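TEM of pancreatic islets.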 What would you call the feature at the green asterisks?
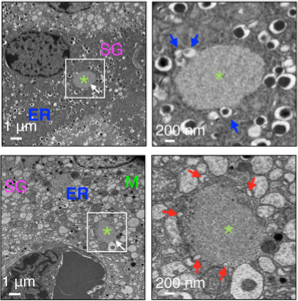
aggregates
